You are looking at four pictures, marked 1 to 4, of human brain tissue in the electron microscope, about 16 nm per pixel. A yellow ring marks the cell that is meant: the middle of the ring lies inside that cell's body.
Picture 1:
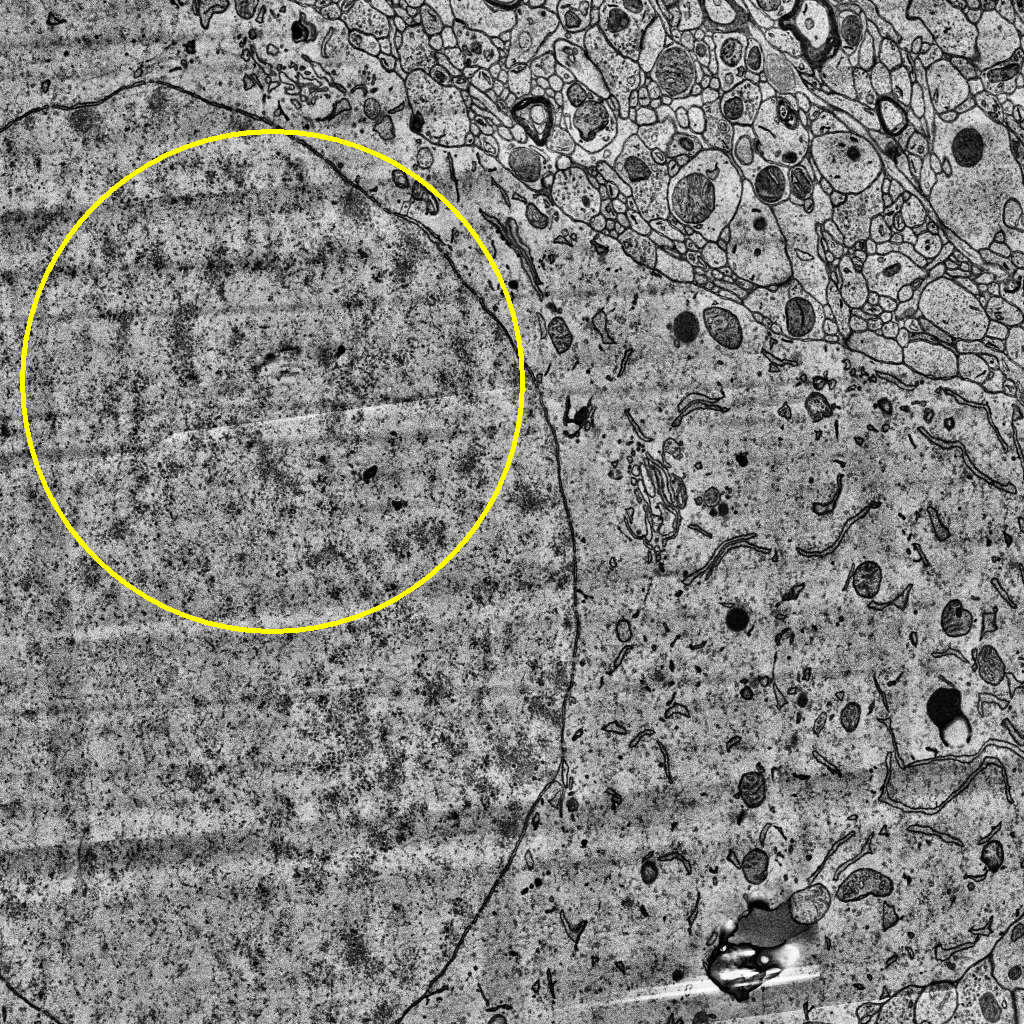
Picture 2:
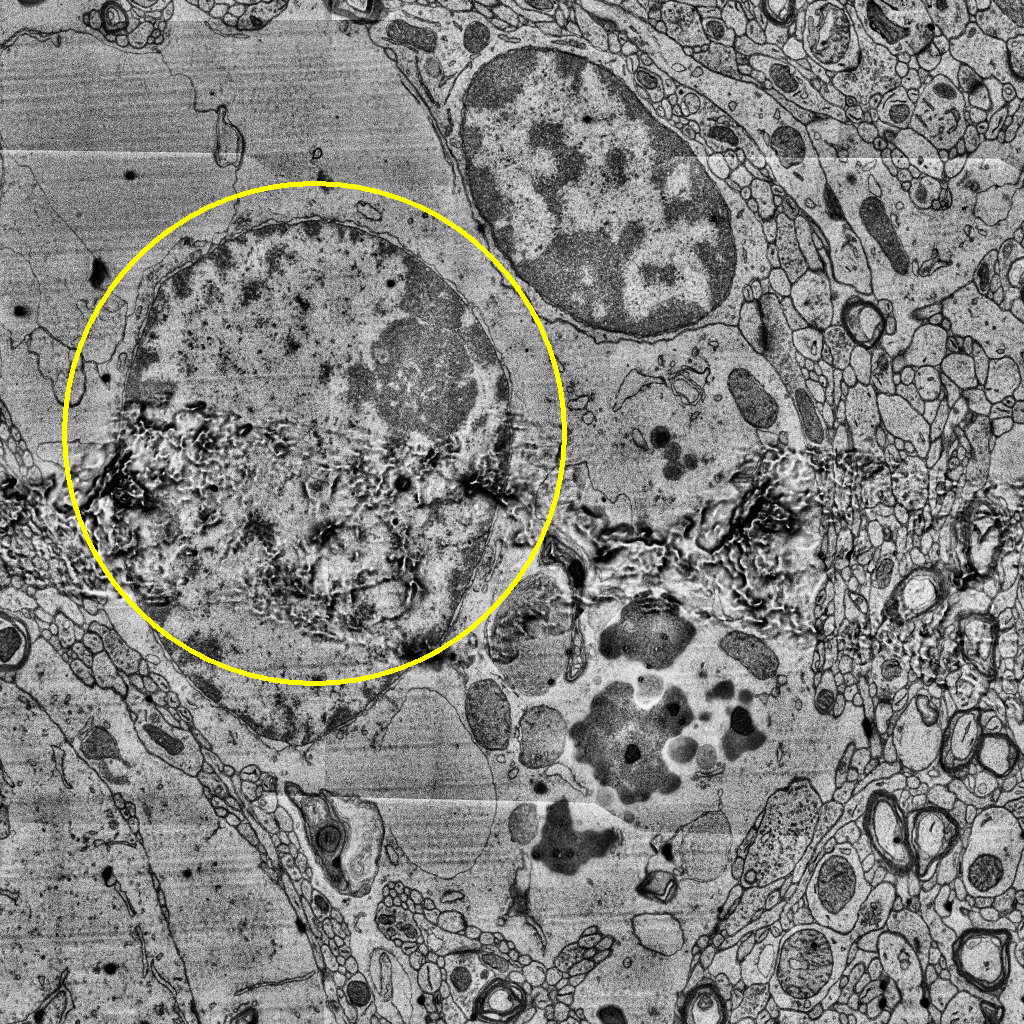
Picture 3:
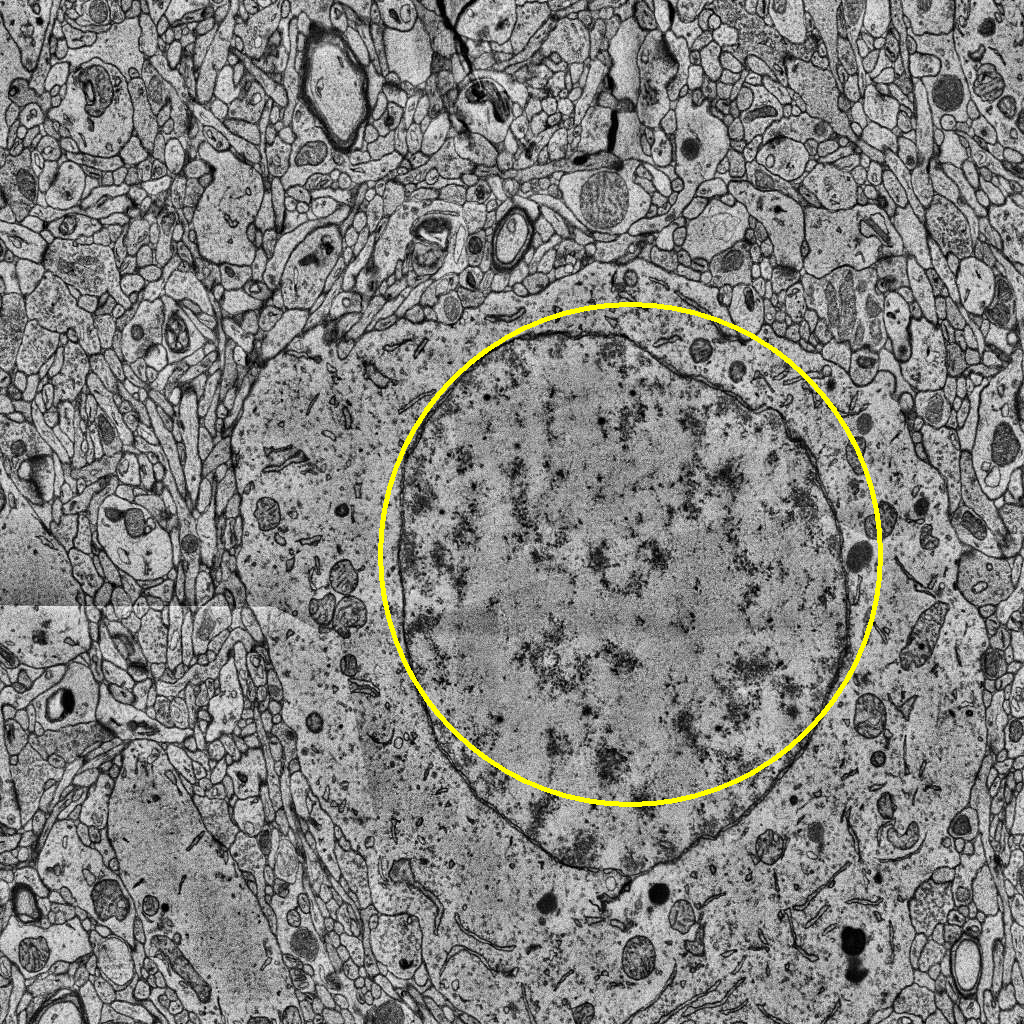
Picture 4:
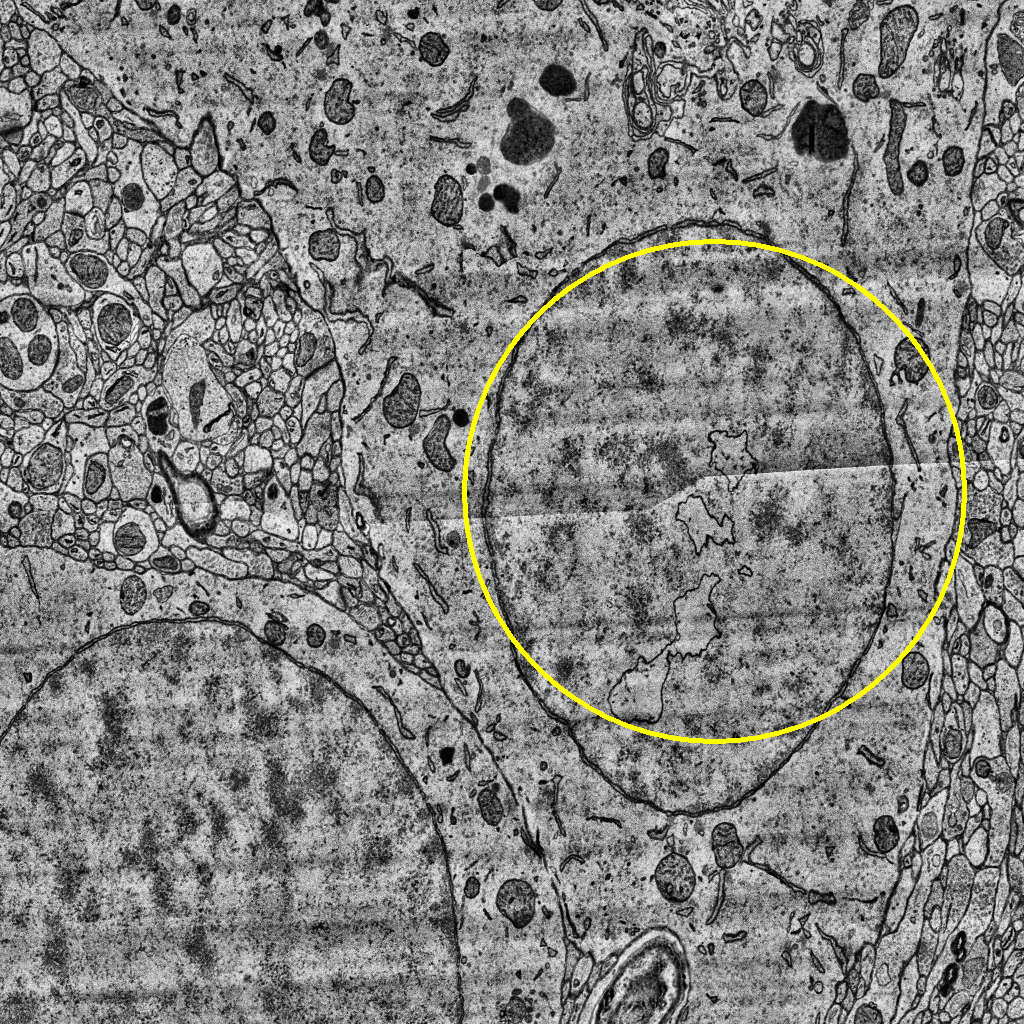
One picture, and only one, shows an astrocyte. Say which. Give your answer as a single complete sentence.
Picture 2 shows the astrocyte.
